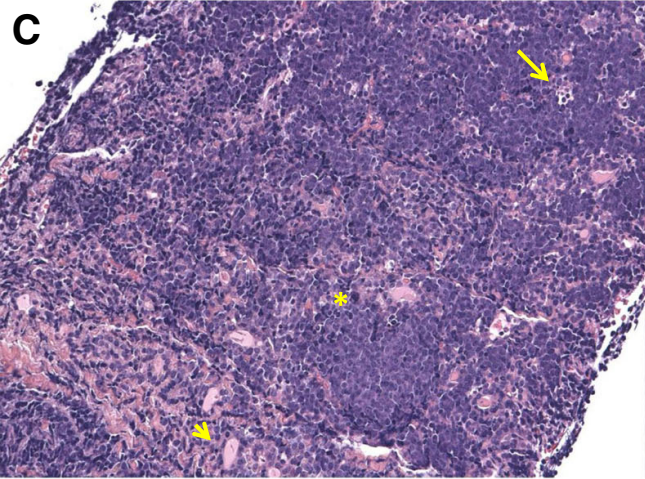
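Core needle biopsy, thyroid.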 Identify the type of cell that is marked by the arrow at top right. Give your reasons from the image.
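The arrow points to a larger cell with pale, clear cytoplasm. Small dark fragments lie inside the pale cell. It sits among densely packed small dark cells.
Answer: macrophages ingesting apoptotic cells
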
